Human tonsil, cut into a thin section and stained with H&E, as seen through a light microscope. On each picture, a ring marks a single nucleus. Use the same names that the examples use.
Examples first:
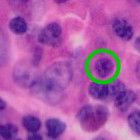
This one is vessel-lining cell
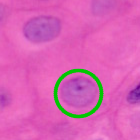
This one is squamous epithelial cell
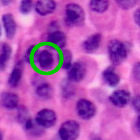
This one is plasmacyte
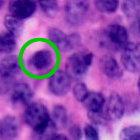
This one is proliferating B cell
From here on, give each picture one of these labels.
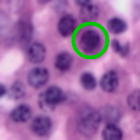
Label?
plasmacyte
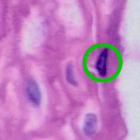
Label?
squamous epithelial cell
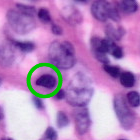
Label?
vessel-lining cell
